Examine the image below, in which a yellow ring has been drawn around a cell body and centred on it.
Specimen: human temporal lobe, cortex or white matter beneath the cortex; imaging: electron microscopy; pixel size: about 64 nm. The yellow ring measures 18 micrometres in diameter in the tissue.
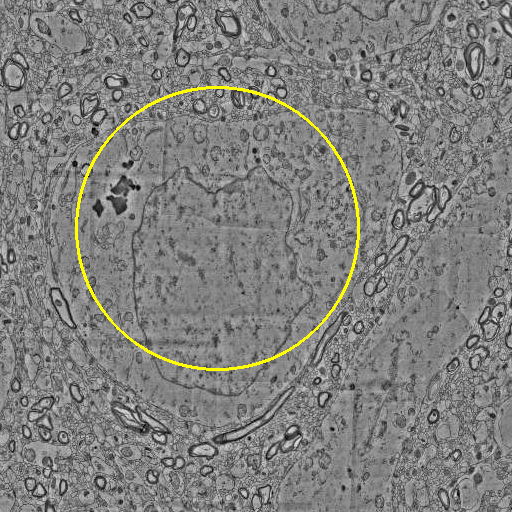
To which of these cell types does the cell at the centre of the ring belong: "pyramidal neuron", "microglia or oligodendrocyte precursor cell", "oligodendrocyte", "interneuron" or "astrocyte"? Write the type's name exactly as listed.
pyramidal neuron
